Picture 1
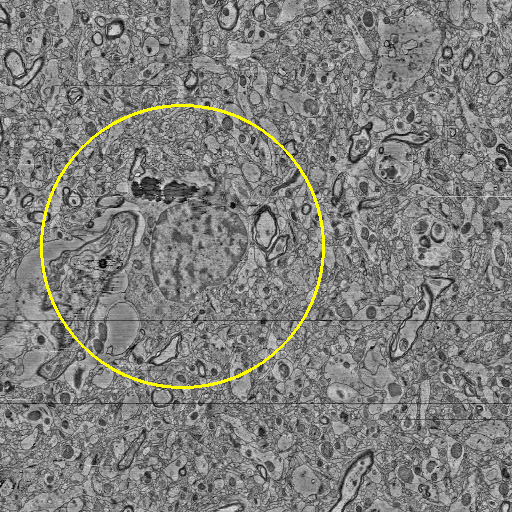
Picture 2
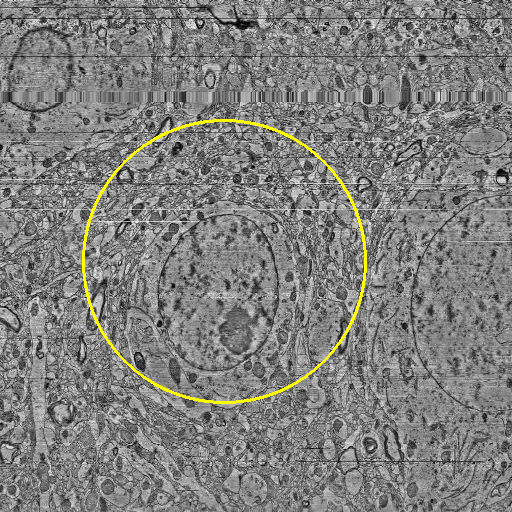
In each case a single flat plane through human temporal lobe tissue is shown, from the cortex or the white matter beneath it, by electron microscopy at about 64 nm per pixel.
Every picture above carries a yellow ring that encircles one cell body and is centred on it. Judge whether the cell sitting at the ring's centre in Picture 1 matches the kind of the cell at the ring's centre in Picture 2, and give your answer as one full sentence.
No, the cells centred in the rings of Pictures 1 and 2 belong to two kinds.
